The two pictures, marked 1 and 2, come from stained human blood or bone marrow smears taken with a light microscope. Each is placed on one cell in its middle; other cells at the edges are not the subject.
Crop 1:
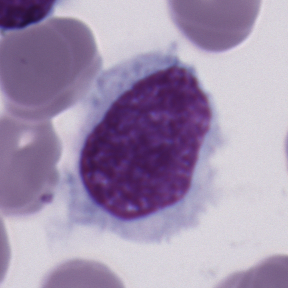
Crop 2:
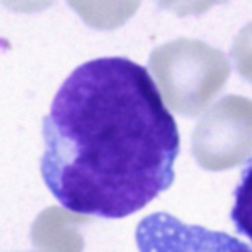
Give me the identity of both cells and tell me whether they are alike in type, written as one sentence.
No, crop 1 contains a hairy cell, and crop 2 contains a blast.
